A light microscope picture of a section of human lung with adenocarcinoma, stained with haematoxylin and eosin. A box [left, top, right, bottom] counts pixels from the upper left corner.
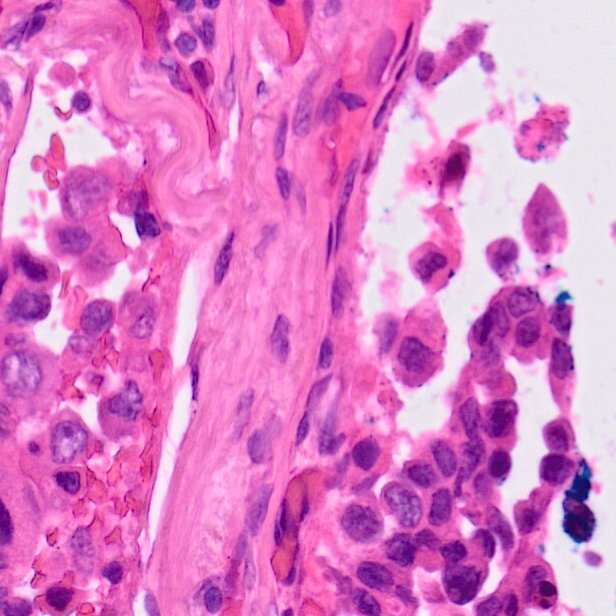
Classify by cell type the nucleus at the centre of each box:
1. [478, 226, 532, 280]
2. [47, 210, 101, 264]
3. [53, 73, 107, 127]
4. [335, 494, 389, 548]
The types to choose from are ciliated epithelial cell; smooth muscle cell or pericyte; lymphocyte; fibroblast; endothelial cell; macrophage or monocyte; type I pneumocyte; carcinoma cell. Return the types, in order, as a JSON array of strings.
["carcinoma cell", "carcinoma cell", "lymphocyte", "carcinoma cell"]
